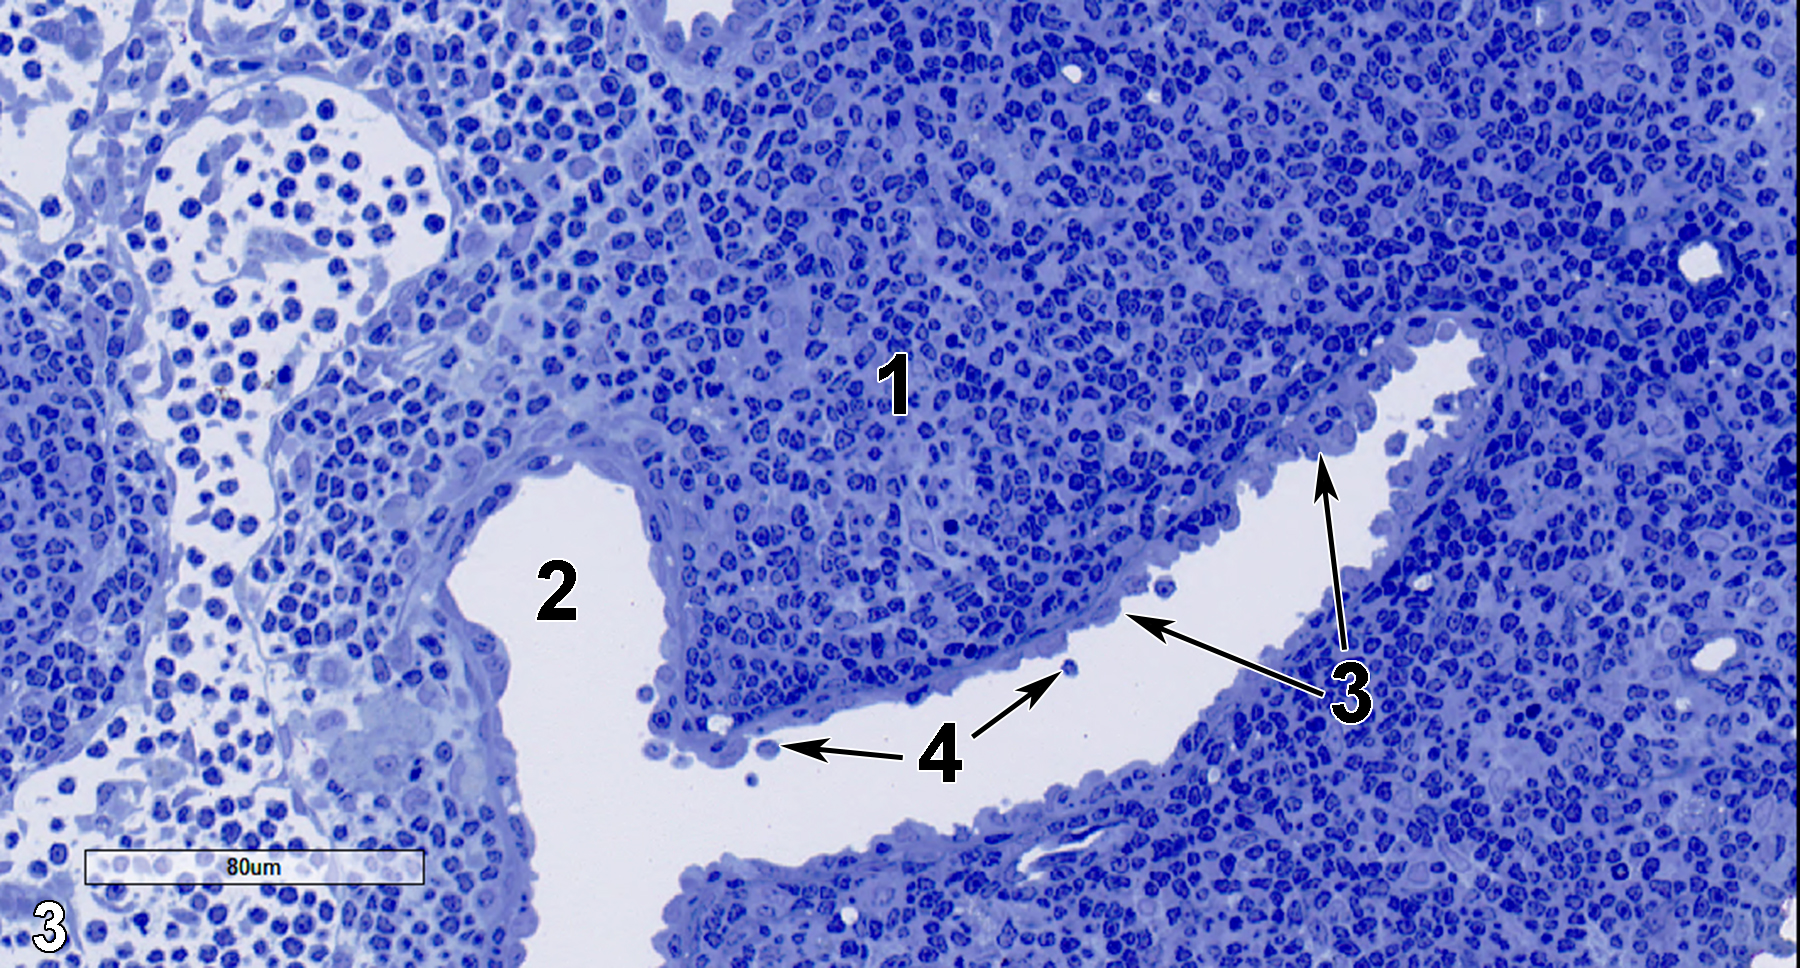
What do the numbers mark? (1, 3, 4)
1 cortical parenchyma
3 endothelial cells
4 lymphocytes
